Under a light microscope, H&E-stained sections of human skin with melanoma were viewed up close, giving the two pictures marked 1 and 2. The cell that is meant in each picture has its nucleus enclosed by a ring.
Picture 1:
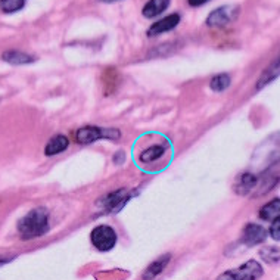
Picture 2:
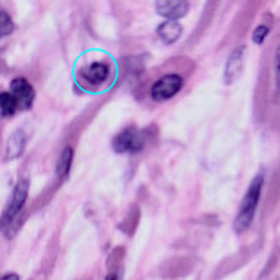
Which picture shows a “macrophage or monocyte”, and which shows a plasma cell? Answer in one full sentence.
In picture 1 the cell is a “macrophage or monocyte”; in picture 2, a plasma cell.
